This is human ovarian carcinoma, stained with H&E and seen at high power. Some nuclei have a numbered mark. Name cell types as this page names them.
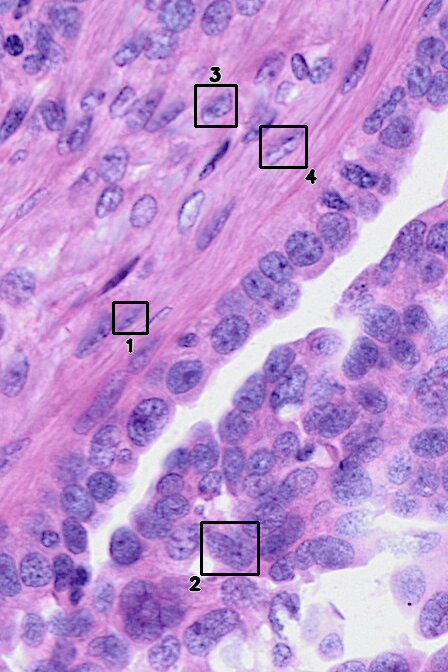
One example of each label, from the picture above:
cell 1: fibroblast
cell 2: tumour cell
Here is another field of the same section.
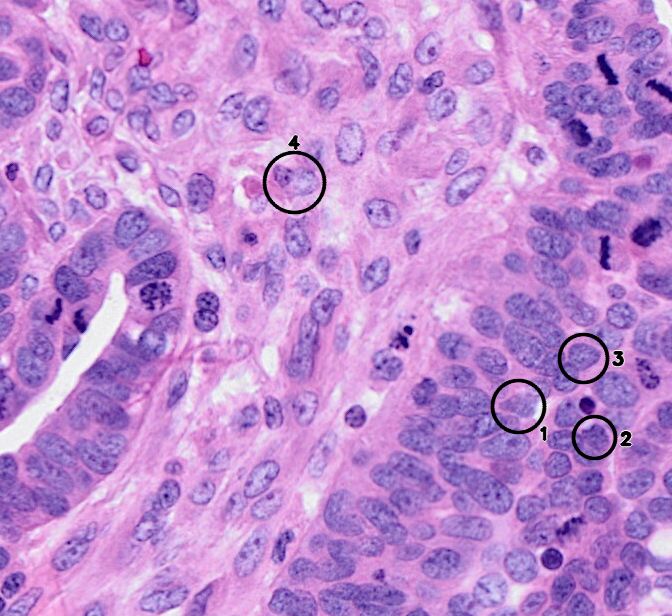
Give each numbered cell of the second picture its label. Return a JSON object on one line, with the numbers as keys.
{"1": "tumour cell", "2": "tumour cell", "3": "tumour cell", "4": "fibroblast"}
